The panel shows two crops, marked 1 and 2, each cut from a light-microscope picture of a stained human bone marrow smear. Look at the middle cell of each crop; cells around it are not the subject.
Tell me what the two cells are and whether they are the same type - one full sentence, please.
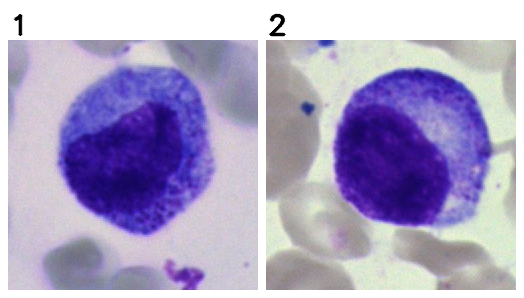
Yes, both crops show promyelocytes, and the two match.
